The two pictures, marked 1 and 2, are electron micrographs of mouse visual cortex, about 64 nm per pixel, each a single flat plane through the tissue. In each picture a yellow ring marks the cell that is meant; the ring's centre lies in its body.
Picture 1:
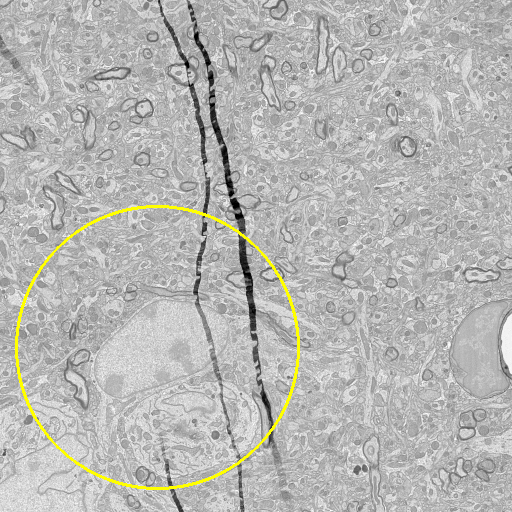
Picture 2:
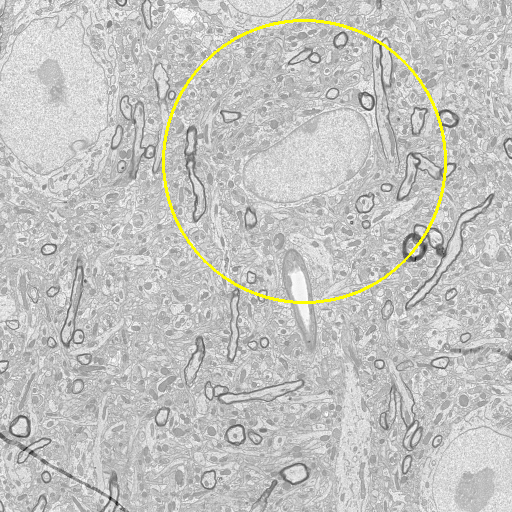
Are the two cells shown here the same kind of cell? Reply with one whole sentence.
Yes, both are astrocytes.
